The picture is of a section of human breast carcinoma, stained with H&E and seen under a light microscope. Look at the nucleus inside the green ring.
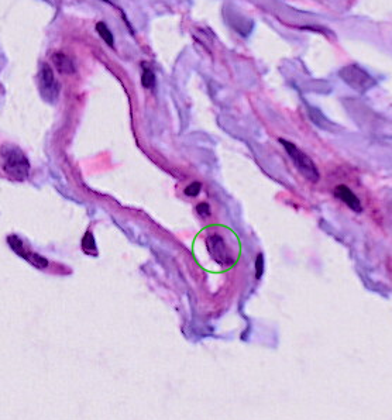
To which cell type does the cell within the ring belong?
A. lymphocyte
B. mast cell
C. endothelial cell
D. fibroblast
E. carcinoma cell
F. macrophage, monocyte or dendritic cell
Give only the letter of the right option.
C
